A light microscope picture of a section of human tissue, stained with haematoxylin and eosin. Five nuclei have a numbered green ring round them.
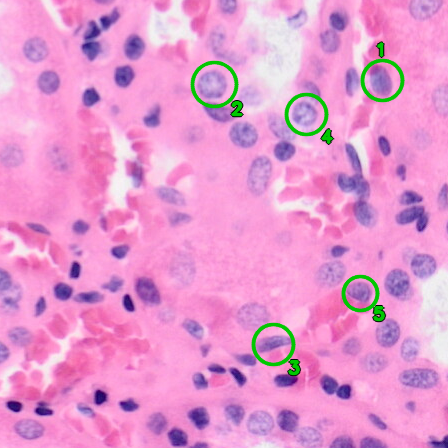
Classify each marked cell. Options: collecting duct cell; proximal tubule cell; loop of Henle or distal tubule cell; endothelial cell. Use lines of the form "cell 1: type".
cell 1: endothelial cell
cell 2: collecting duct cell
cell 3: endothelial cell
cell 4: collecting duct cell
cell 5: endothelial cell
